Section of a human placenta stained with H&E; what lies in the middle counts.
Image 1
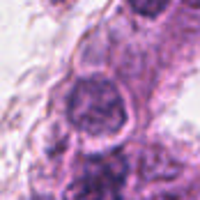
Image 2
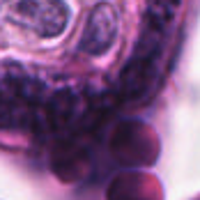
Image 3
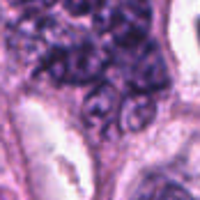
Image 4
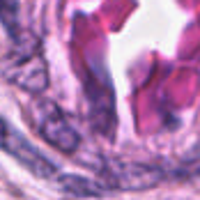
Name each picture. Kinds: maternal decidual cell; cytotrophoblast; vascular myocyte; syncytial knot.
1: cytotrophoblast
2: syncytial knot
3: syncytial knot
4: vascular myocyte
